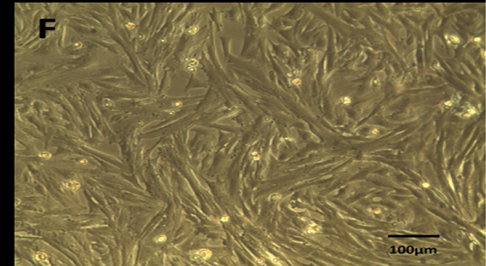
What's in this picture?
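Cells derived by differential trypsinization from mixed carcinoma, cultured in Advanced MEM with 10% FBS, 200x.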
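The field is covered by long, slender, spindle-shaped cells with tapering ends. They lie side by side in loose parallel streams that run in several directions and cross one another. A few small rounded, bright cells sit scattered on the layer.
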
